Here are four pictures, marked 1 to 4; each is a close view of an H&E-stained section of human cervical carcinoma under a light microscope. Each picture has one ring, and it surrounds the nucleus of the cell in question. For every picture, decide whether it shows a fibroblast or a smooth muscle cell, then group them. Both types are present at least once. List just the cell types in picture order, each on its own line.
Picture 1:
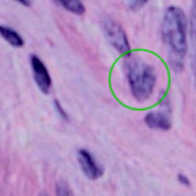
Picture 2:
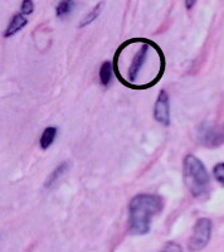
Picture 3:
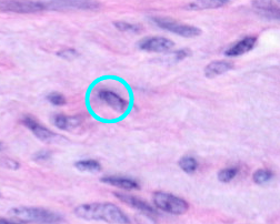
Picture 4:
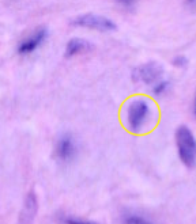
smooth muscle cell
fibroblast
smooth muscle cell
fibroblast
